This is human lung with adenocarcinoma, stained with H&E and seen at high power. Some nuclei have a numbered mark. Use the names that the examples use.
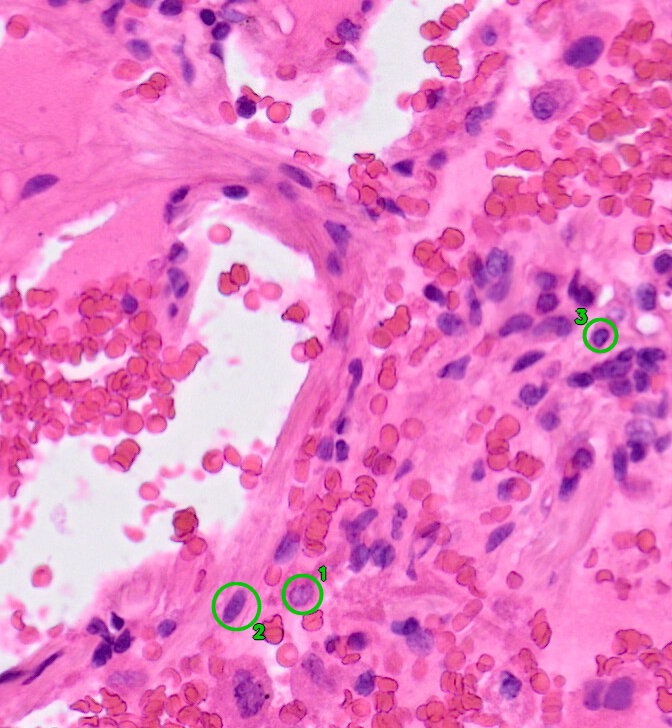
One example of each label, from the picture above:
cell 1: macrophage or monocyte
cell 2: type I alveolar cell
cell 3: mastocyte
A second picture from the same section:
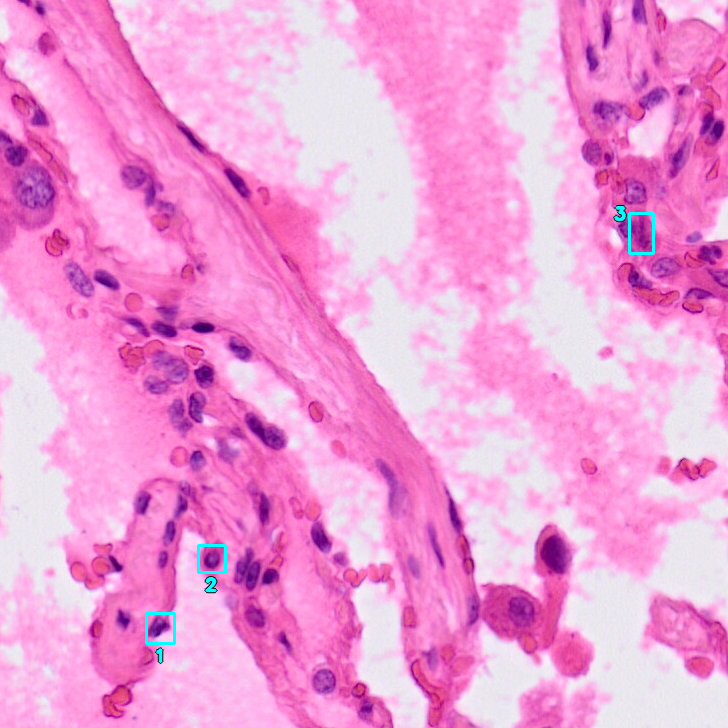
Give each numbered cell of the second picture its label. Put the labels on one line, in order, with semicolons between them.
type I alveolar cell; mastocyte; macrophage or monocyte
